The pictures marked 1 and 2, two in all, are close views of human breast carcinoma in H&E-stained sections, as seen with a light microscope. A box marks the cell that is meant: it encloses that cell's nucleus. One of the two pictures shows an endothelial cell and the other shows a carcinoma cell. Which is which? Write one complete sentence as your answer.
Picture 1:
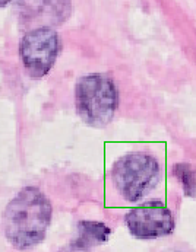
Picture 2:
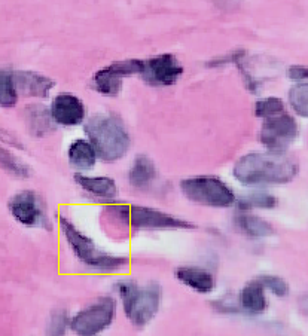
It is picture 1 that shows a carcinoma cell, and picture 2 that shows an endothelial cell.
